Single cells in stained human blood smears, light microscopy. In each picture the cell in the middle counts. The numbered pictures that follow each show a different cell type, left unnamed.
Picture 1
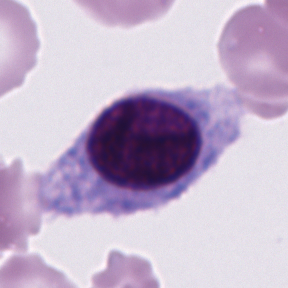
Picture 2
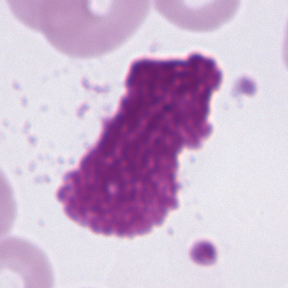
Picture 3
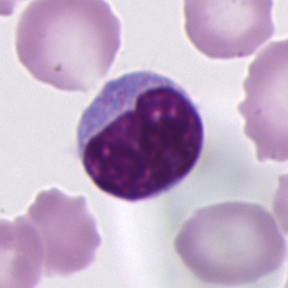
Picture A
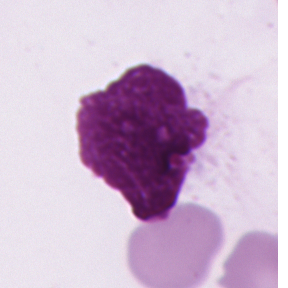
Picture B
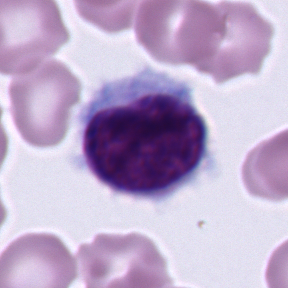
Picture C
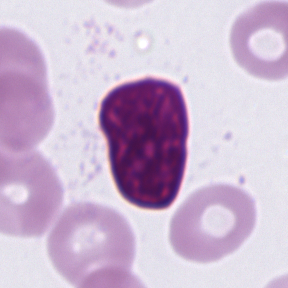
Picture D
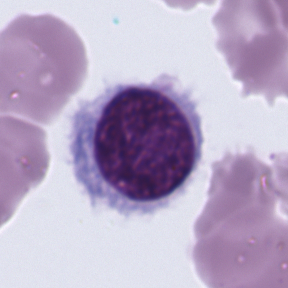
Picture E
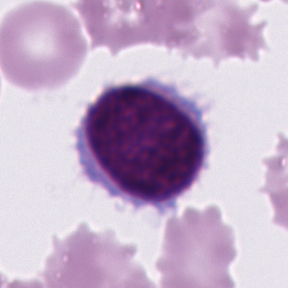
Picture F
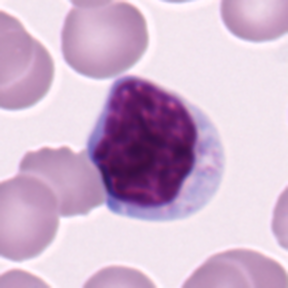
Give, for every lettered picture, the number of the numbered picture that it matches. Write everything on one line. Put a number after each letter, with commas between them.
A 2, B 1, C 2, D 1, E 1, F 3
